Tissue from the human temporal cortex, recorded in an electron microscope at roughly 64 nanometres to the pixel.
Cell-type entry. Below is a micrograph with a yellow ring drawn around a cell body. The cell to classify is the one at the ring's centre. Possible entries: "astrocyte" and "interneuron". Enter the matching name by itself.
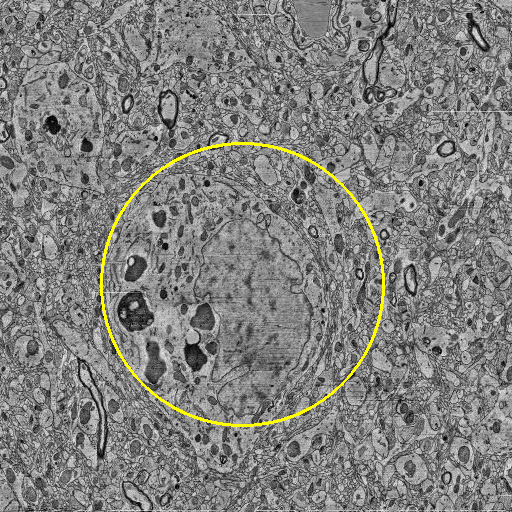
interneuron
